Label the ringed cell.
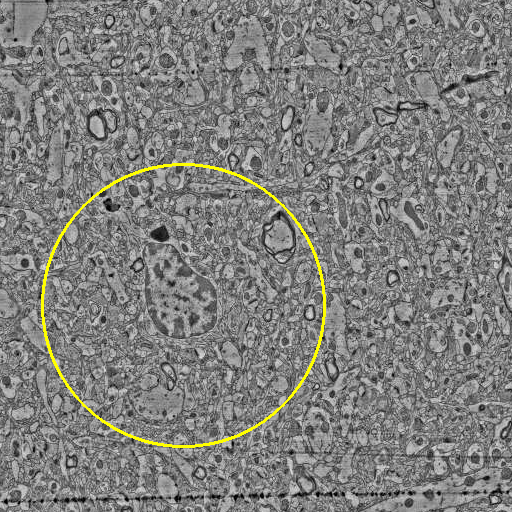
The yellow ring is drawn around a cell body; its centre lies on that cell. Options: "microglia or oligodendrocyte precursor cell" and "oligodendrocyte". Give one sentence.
The ringed cell is a microglial cell or oligodendrocyte precursor cell.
